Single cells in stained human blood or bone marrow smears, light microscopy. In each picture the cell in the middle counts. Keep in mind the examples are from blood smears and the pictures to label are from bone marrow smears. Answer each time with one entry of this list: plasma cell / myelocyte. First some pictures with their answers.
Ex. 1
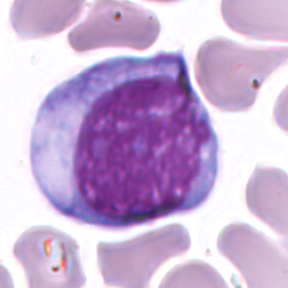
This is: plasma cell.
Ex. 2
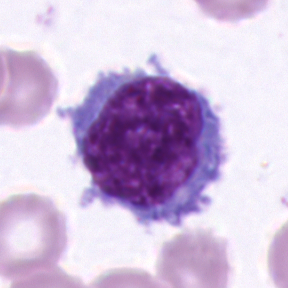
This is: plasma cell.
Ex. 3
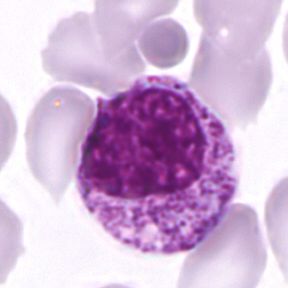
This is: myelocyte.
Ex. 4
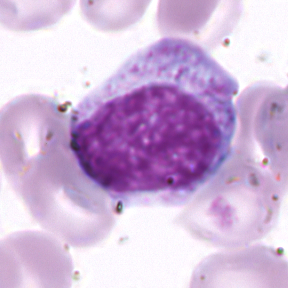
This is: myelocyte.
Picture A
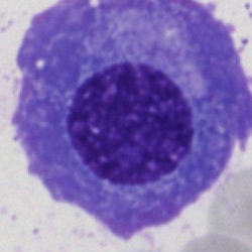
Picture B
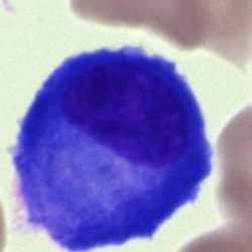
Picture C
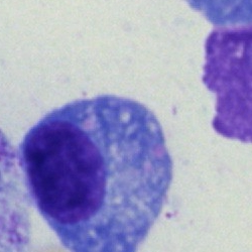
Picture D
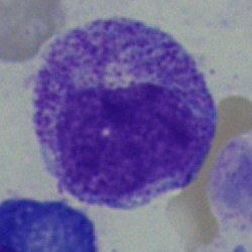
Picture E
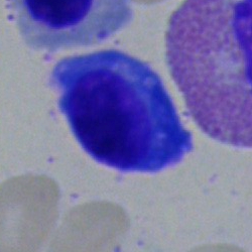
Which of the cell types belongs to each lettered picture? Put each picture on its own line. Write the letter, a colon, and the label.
A: plasma cell.
B: plasma cell.
C: plasma cell.
D: myelocyte.
E: plasma cell.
